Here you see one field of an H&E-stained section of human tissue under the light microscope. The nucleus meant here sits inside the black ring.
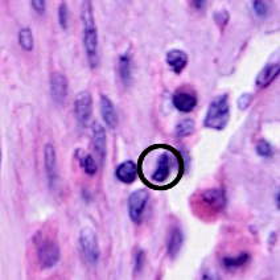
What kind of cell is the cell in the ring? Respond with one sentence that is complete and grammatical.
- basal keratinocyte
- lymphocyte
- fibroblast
On this particular slide, the cell in the ring is a lymphocyte.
